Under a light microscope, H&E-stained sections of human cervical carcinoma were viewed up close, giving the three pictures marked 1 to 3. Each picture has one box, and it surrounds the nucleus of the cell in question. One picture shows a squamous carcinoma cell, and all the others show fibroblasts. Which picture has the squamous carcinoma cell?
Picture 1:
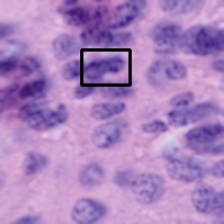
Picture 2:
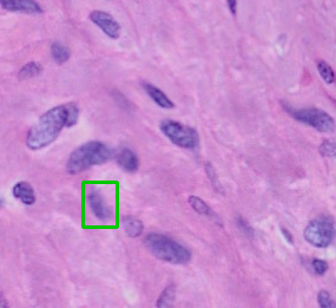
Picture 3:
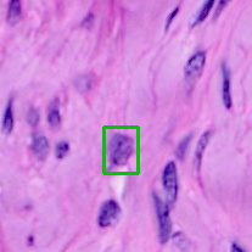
1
